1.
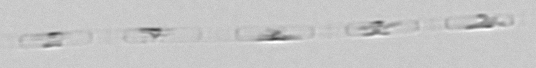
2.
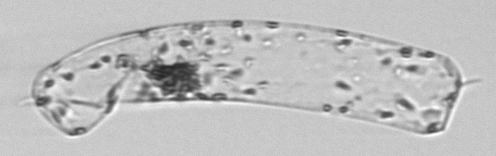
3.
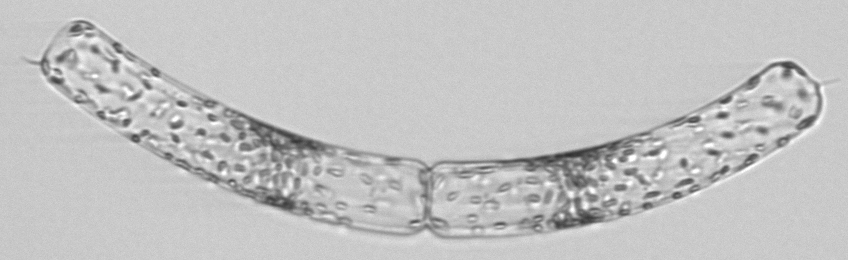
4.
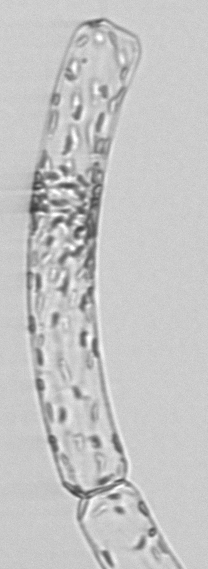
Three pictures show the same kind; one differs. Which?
Picture 1: Skeletonema, while the others are Guinardia.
